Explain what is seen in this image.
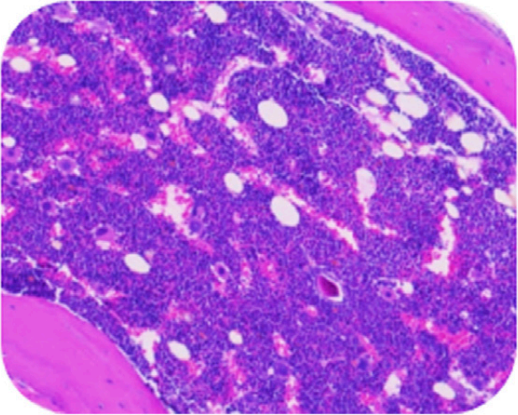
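Pink-red vascular channels containing red blood cells run between the cell sheets. A few large cells with abundant cytoplasm stand out among the small cells, consistent with megakaryocytes. Overall the marrow appears largely cellular.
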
